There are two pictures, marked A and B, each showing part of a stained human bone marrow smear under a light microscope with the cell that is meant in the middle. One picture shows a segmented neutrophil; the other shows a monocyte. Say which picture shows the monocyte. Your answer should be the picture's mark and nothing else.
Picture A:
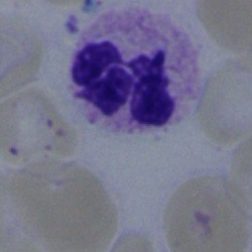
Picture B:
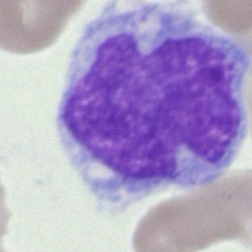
B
